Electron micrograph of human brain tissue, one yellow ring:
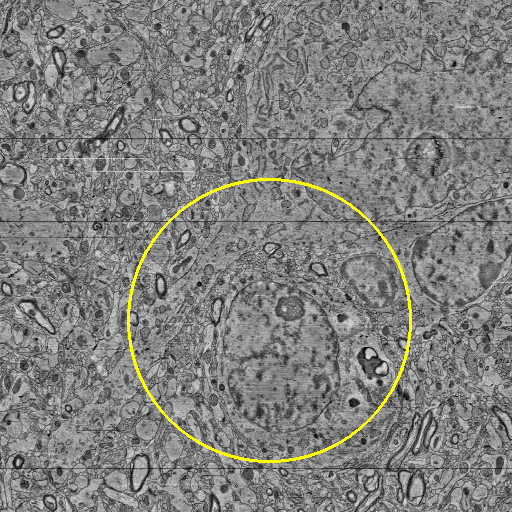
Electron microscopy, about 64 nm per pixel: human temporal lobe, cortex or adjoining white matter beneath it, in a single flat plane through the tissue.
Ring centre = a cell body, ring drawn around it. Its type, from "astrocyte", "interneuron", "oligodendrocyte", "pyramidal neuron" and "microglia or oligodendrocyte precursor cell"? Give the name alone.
interneuron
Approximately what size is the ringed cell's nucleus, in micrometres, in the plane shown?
The nucleus works out at approximately 10 by 8 micrometres in this plane.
